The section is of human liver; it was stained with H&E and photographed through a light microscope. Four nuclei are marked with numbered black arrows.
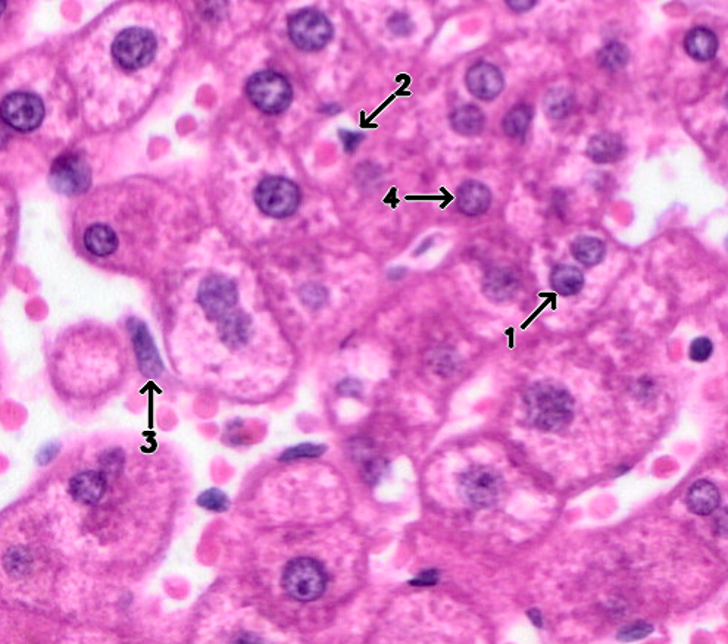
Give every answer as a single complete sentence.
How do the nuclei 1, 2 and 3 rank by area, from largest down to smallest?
From largest to smallest, the order is 3, 1, 2.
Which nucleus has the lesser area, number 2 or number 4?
Nucleus 2 covers less area, with nucleus 4 about 2.5 times as large.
